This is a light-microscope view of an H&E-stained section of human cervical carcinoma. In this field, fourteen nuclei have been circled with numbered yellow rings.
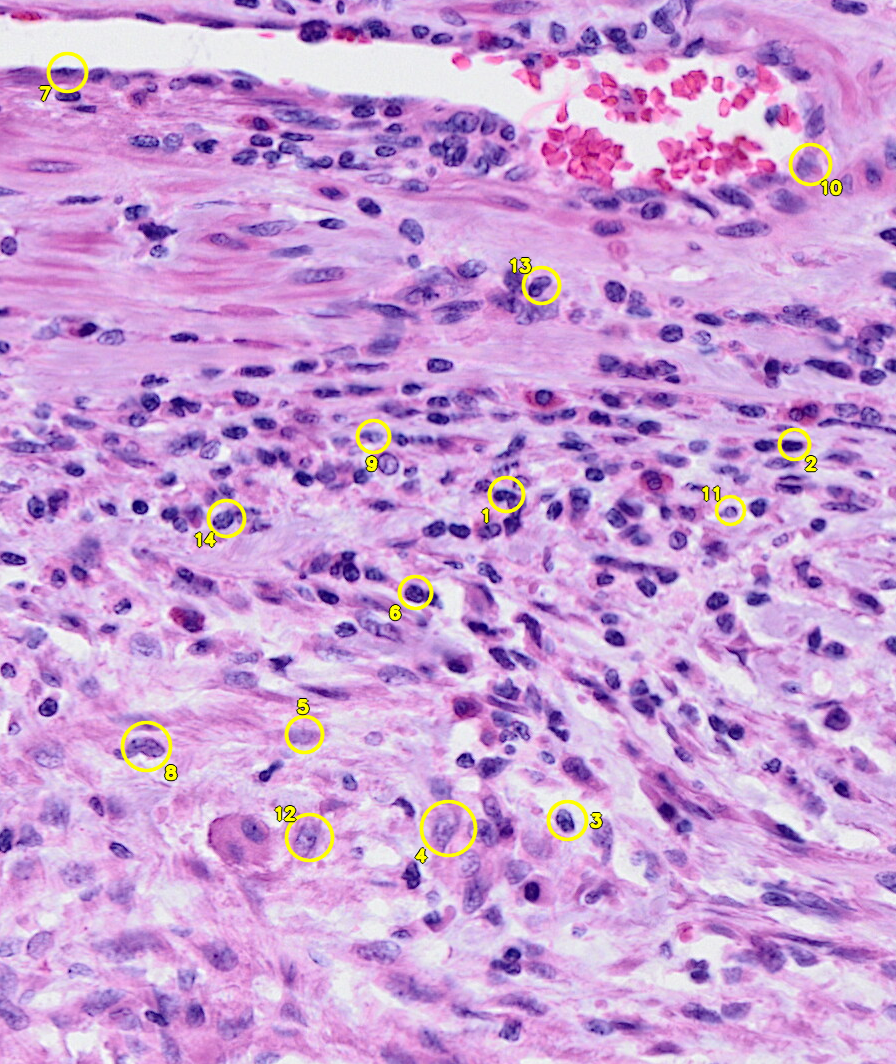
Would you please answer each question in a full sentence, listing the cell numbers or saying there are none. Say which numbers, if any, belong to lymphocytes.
The cells 1, 2, 3, 6, 9, 11, 13 and 14 in this section are lymphocytes.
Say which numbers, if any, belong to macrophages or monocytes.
Only nucleus 8 belongs to a macrophage or monocyte; the other numbered nuclei do not.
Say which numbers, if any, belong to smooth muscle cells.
It is true of every numbered cell that it is not one of the smooth muscle cells.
